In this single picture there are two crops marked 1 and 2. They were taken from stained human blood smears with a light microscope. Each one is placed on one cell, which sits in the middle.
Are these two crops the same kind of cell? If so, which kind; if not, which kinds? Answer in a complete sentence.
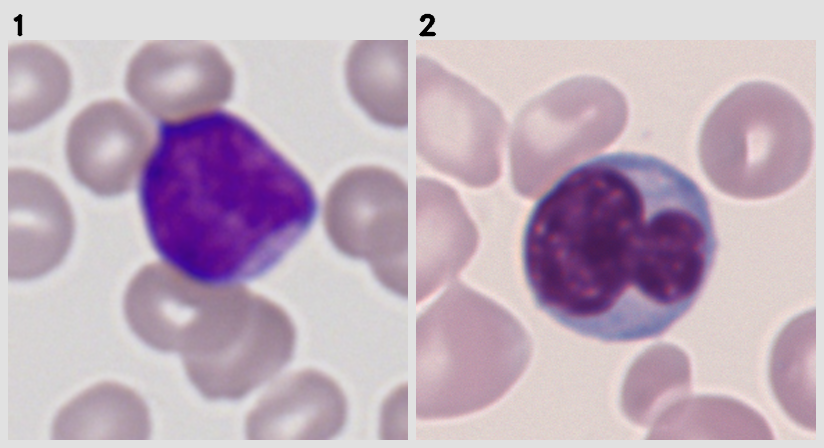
No, crop 1 captures a blast; meanwhile crop 2 captures a lymphocyte.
